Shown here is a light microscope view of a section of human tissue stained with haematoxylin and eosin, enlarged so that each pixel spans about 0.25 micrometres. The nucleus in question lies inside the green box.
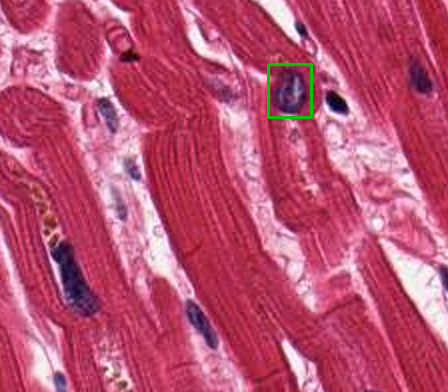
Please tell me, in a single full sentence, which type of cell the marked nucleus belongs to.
Part of a cardiomyocyte is the marked nucleus.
